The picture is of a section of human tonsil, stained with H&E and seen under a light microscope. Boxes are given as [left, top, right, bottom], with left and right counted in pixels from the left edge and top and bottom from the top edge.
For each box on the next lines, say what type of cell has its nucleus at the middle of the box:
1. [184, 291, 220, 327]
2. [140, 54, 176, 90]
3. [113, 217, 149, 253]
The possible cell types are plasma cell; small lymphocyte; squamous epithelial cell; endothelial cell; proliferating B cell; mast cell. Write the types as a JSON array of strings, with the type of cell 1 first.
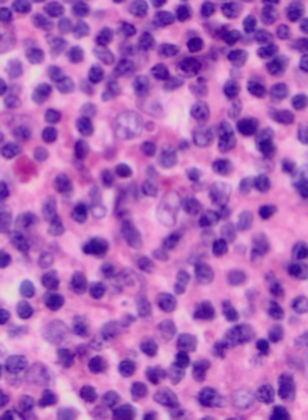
["proliferating B cell", "small lymphocyte", "proliferating B cell"]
